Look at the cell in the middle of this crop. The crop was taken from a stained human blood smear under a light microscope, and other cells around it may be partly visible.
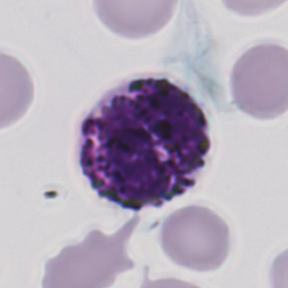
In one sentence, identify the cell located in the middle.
Classified as a basophil is the cell in the middle of this crop.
